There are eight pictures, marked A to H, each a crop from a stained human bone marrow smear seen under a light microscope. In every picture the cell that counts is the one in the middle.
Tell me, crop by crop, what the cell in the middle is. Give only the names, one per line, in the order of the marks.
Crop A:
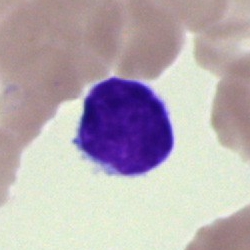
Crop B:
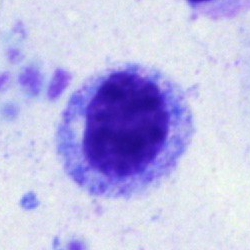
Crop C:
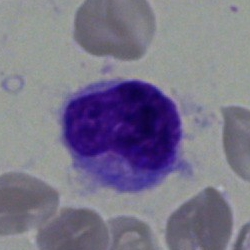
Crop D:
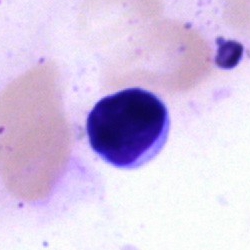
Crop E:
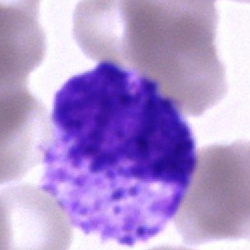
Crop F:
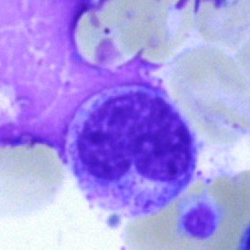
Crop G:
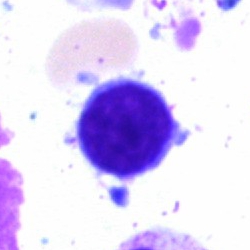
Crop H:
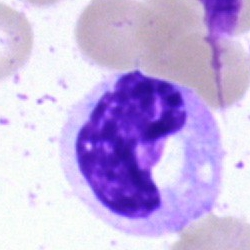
lymphocyte
myelocyte
hairy cell
lymphocyte
basophil
metamyelocyte
lymphocyte
band neutrophil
